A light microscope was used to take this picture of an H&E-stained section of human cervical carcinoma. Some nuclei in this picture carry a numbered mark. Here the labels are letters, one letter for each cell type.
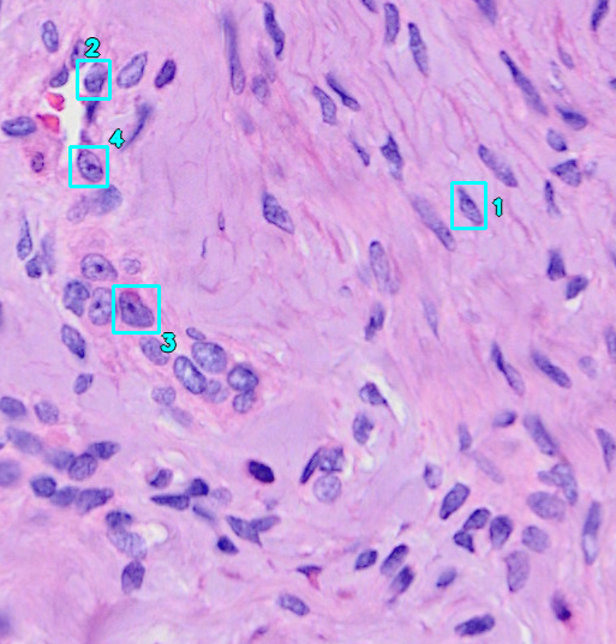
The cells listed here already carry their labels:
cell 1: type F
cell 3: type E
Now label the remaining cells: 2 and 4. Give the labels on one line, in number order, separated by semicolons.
type E; type E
